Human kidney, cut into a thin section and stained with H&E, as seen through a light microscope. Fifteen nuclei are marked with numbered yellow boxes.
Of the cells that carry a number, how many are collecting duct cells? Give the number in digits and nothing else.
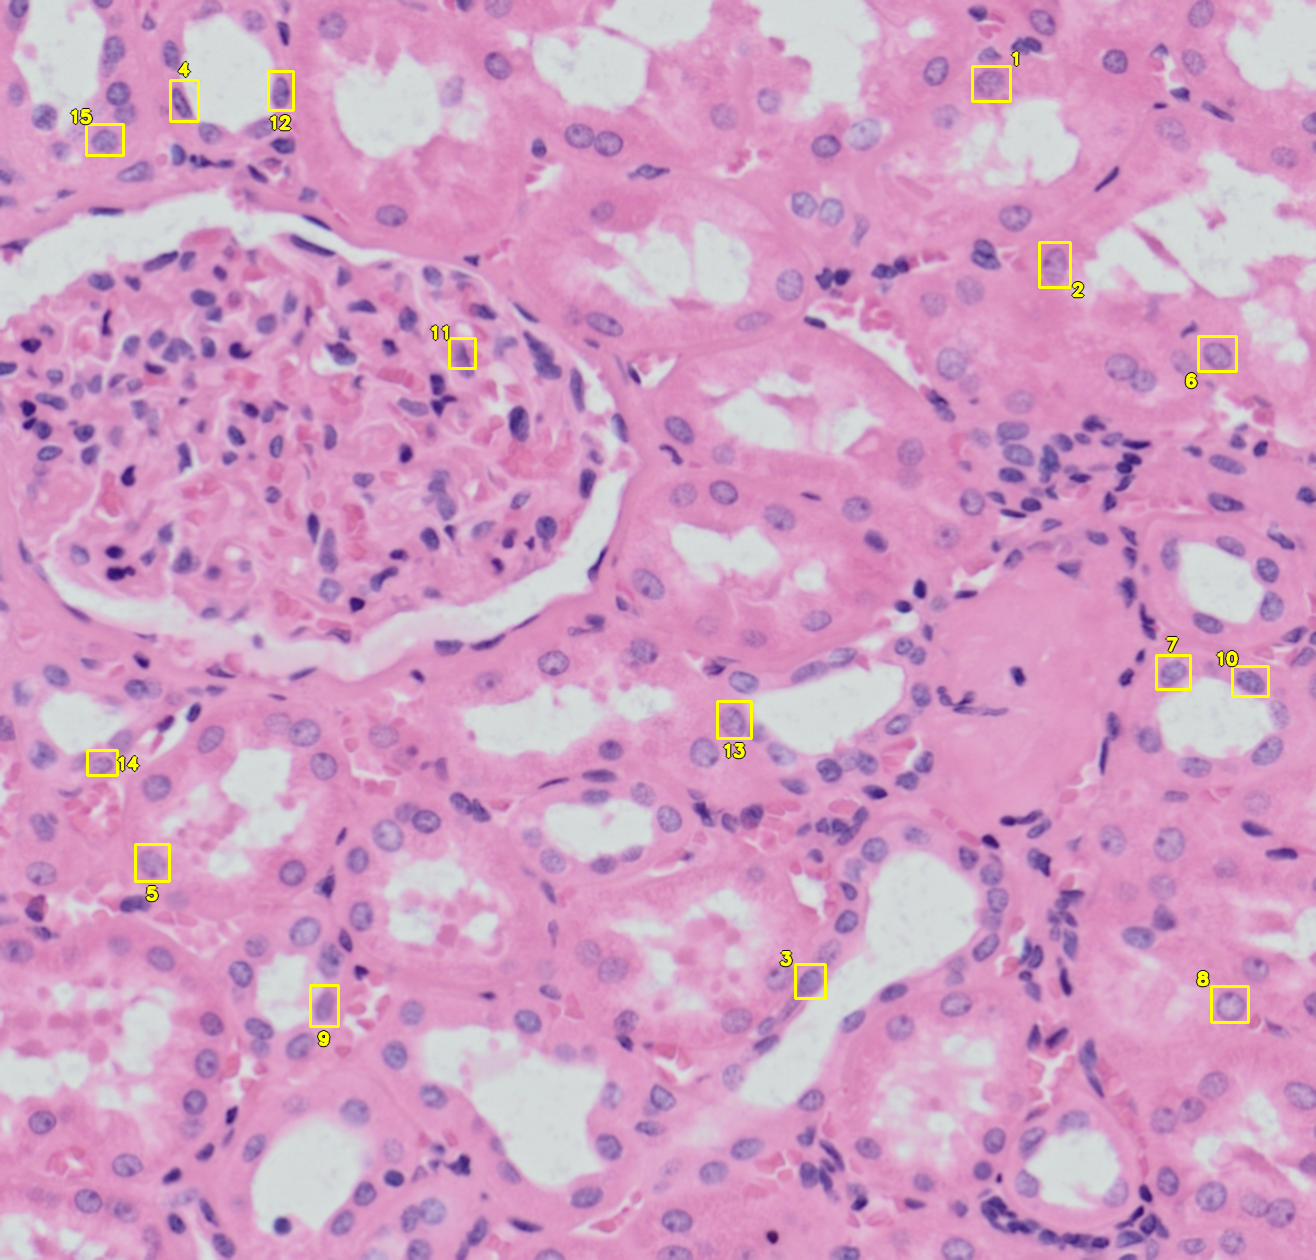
4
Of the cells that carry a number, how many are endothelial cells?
1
